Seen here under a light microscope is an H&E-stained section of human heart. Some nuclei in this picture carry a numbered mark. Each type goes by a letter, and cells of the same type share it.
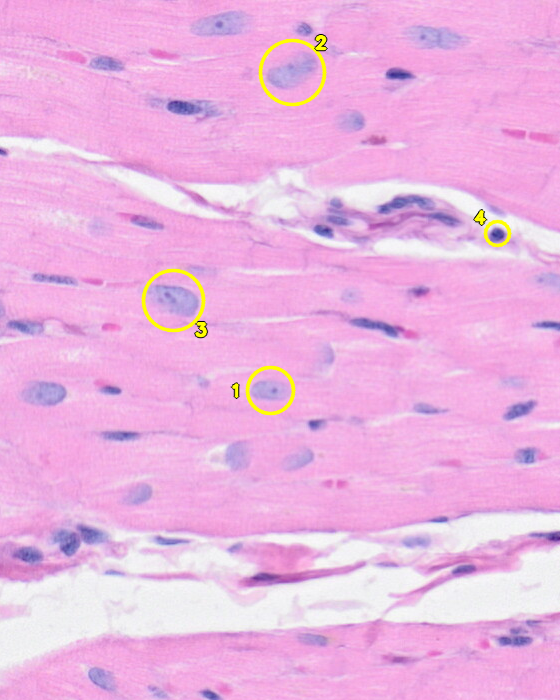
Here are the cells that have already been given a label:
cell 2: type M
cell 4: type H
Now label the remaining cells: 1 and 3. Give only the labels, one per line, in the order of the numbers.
type M
type M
